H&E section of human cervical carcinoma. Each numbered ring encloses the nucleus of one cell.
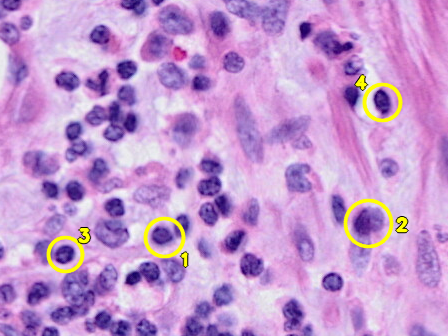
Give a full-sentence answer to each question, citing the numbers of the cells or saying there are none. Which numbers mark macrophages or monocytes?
Of all the numbered cells, only one is a macrophage or monocyte, and that is cell 2.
